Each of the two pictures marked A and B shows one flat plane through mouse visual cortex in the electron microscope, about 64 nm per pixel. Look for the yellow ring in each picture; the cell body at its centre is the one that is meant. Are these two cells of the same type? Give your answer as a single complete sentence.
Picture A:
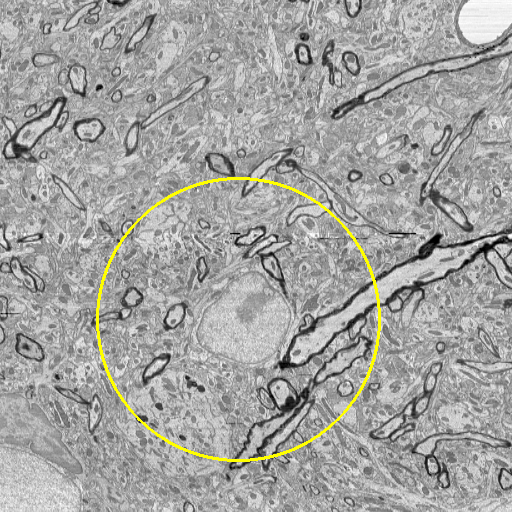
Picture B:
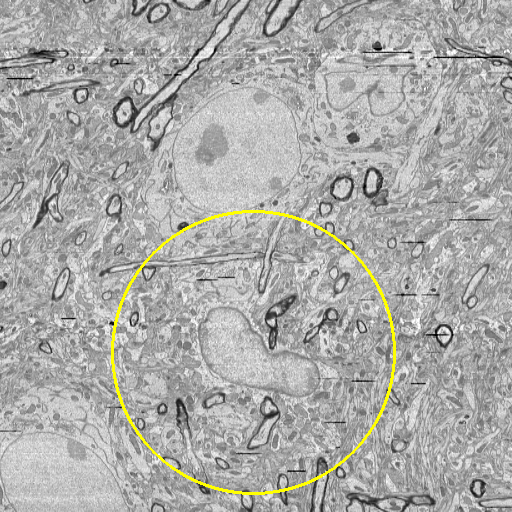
Yes, the two pictures both show astrocytes.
